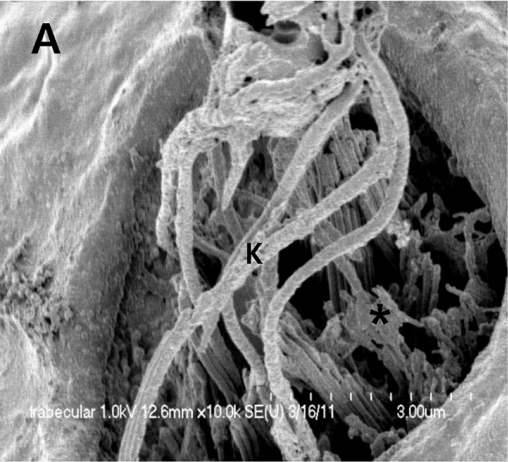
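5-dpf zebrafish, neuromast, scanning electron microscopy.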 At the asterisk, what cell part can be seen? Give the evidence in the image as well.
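The asterisk lies on a cluster of many parallel, rod-like projections. The rods stand side by side in a dense bundle inside a depression of the surface.
Conclusion: stereocilia bundles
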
